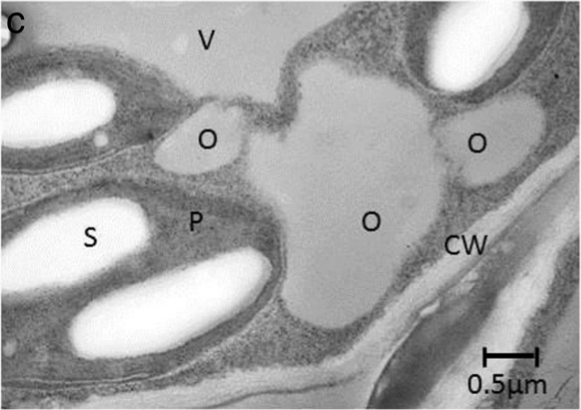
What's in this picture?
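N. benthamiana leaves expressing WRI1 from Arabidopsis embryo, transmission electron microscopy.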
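This is the cytoplasm of a leaf cell at high magnification, crowded with plastids whose dense grey stroma surrounds large, pale white starch grains. Between the plastids lie several smooth, evenly grey droplets of oil, one of them very large and lobed, the others small and rounded. A narrow band of cytoplasm runs along the cell wall at lower right, and the large vacuole lies above.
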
